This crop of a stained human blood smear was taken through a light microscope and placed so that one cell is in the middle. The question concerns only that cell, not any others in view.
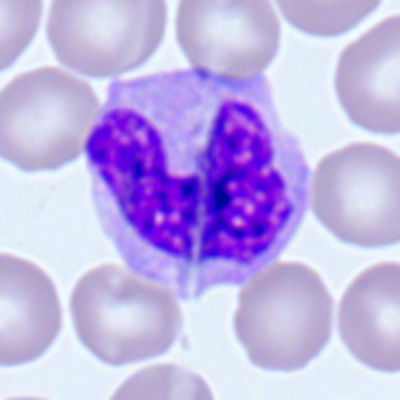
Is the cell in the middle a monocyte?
yes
